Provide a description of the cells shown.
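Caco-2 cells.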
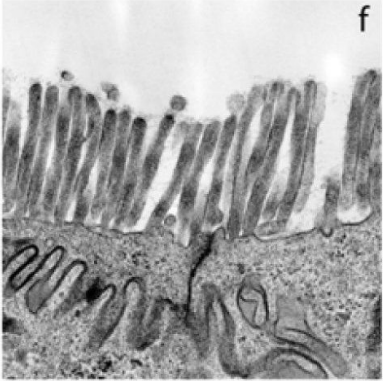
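Between two neighbouring cells a dark junctional contact runs up to the surface just beneath the microvilli, and fine fuzzy material lies between and on top of the microvilli. In the cytoplasm below, folded membrane profiles wind between the cells.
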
